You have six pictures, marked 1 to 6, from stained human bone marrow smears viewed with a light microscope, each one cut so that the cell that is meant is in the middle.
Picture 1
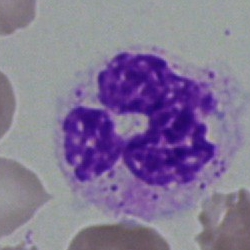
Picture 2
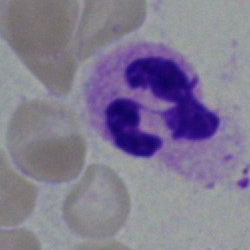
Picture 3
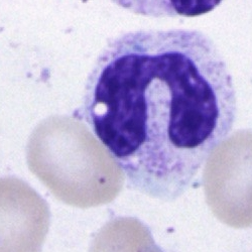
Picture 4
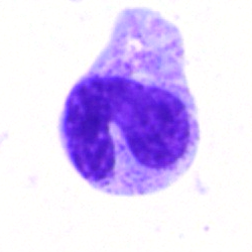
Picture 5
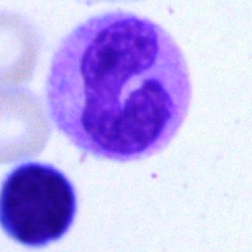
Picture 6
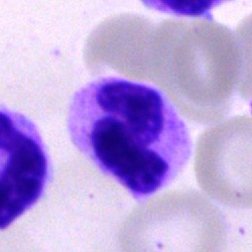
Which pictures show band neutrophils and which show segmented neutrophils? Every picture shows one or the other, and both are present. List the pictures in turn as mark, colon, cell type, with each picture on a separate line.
1: segmented neutrophil
2: segmented neutrophil
3: band neutrophil
4: band neutrophil
5: band neutrophil
6: segmented neutrophil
